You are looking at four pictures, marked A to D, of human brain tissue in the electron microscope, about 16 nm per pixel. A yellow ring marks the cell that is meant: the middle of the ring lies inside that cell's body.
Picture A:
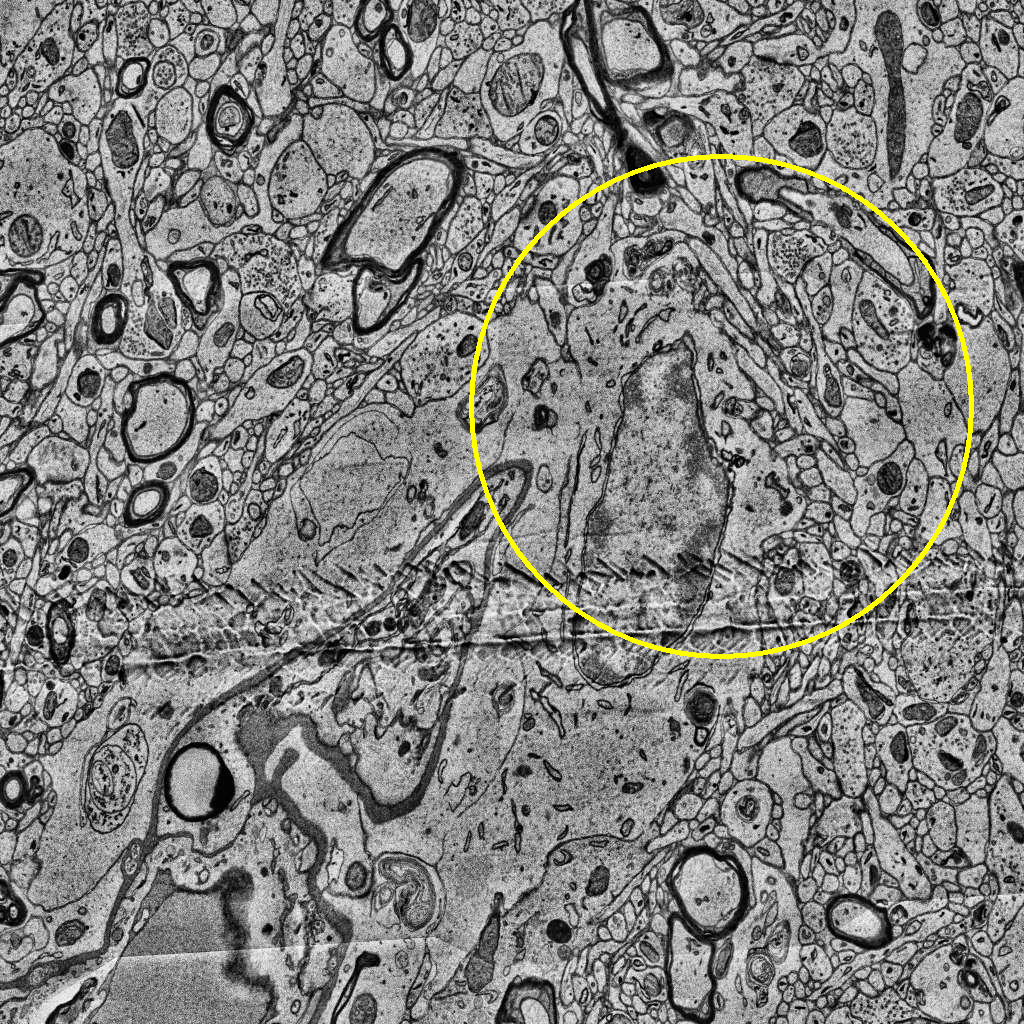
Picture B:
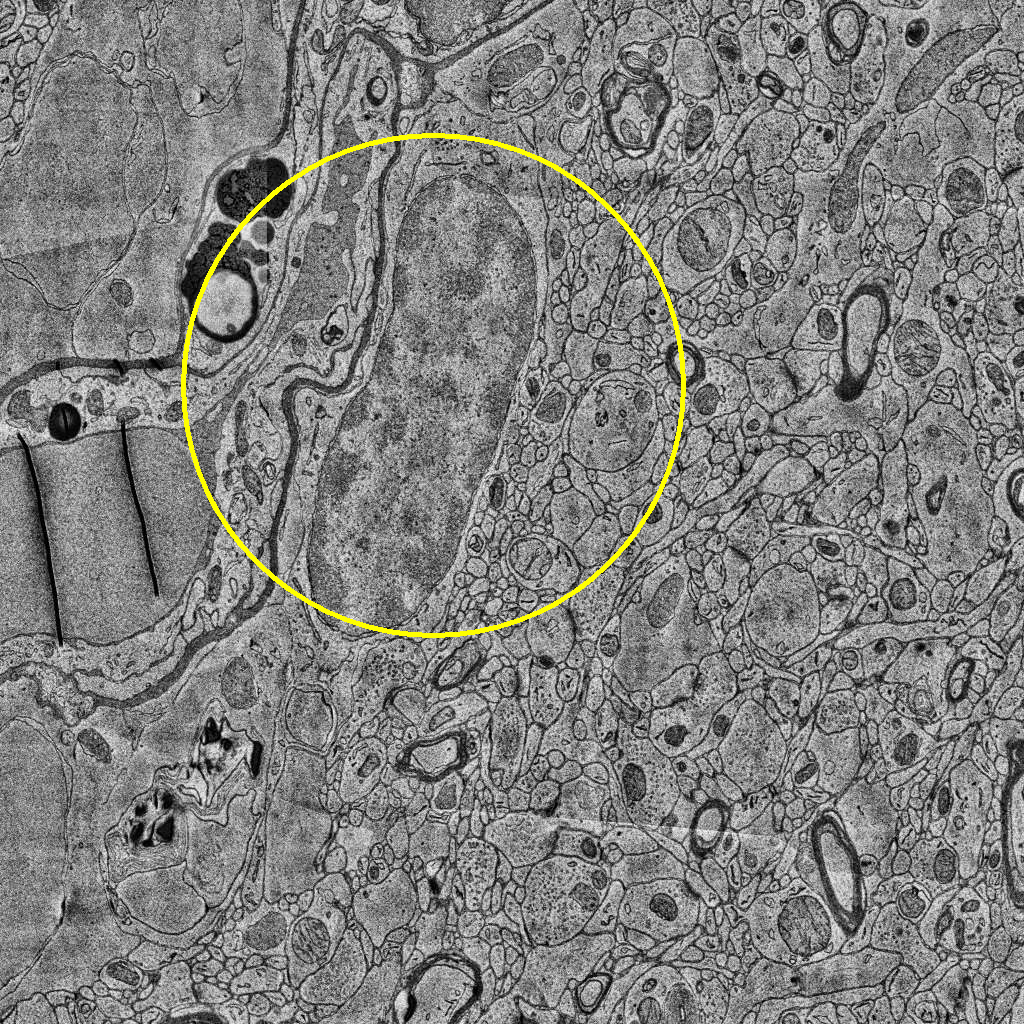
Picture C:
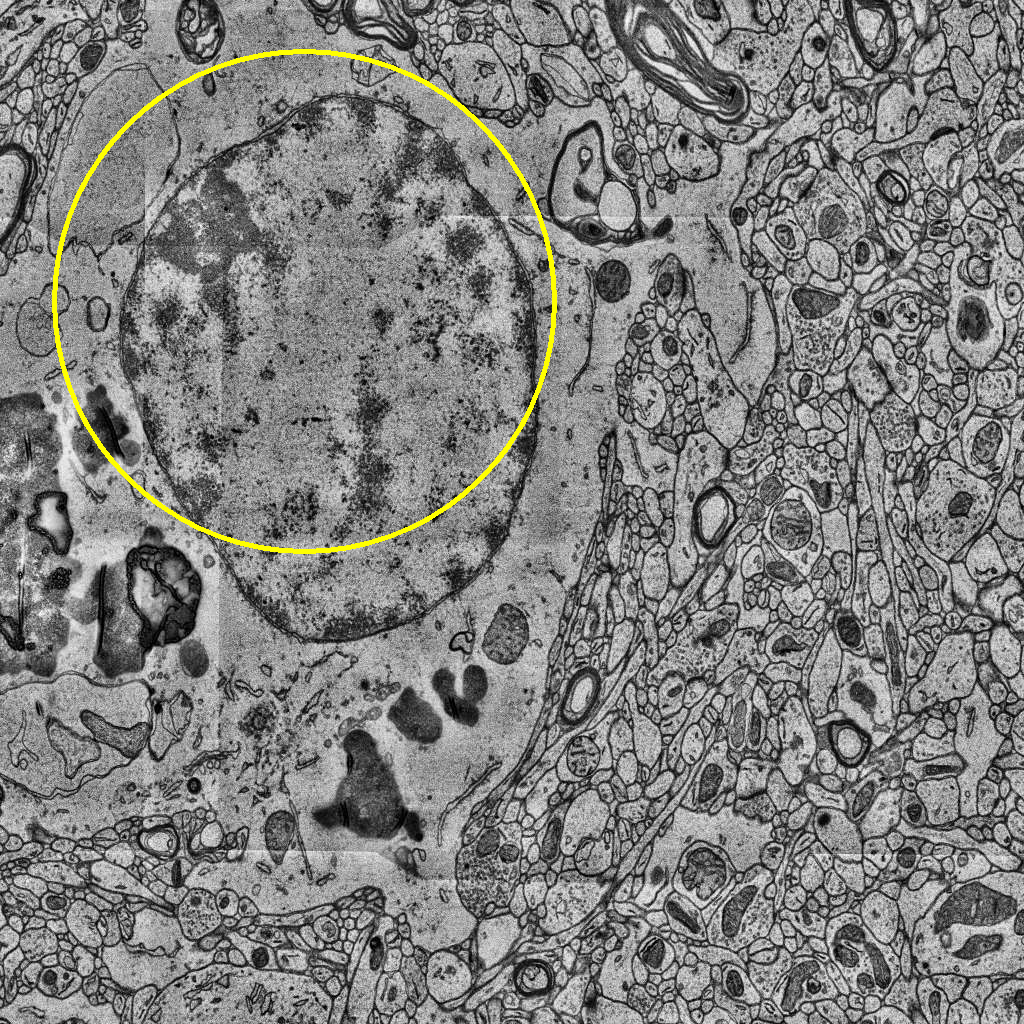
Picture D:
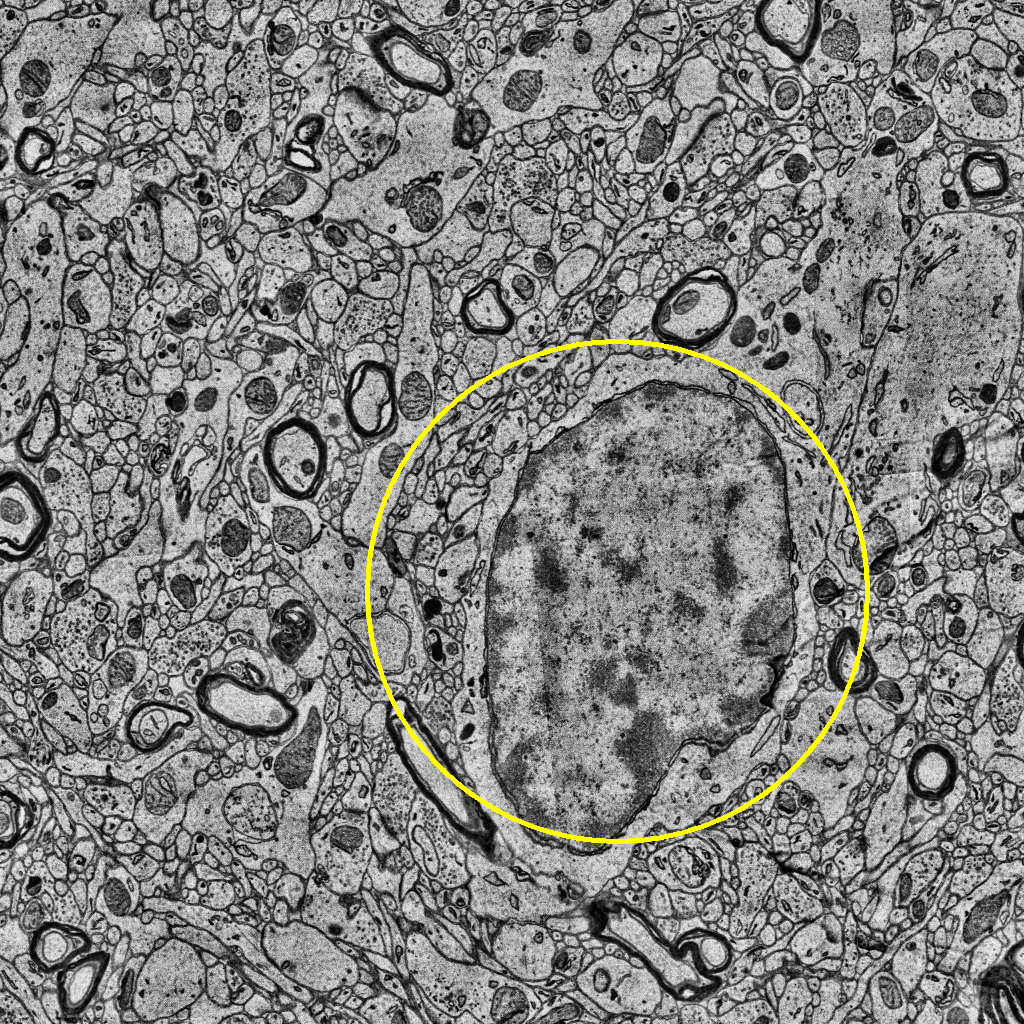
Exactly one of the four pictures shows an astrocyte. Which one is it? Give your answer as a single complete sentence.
Picture C shows the astrocyte.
